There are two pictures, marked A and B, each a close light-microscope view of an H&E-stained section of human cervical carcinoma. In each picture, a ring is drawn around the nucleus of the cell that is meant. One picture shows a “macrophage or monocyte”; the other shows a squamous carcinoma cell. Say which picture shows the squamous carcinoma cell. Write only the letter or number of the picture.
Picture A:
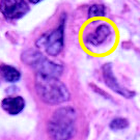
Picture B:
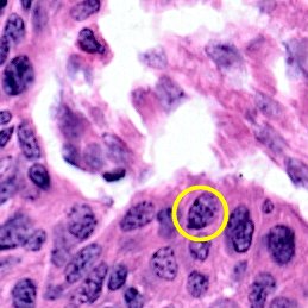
B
